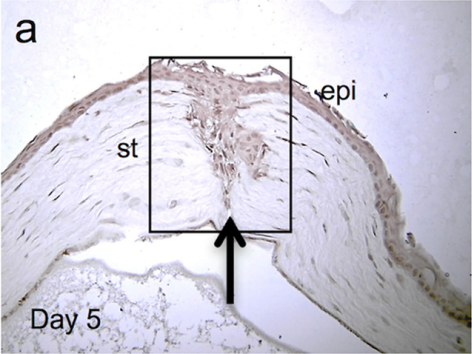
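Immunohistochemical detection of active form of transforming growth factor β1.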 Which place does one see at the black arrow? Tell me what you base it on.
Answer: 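The arrow points to a vertical track crossing the stroma. A wedge of epithelial cells dips down into the stroma above the arrow. Cells are crowded along the track, unlike the sparse stroma beside it.
Answer: the site of the original wound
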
